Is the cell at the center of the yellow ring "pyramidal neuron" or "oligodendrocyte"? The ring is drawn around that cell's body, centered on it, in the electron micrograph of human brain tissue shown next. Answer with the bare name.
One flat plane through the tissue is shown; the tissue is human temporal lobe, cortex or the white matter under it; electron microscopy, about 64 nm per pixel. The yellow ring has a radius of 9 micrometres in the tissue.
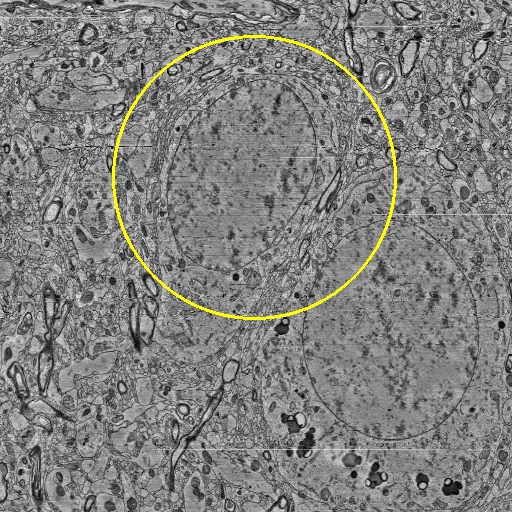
pyramidal neuron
